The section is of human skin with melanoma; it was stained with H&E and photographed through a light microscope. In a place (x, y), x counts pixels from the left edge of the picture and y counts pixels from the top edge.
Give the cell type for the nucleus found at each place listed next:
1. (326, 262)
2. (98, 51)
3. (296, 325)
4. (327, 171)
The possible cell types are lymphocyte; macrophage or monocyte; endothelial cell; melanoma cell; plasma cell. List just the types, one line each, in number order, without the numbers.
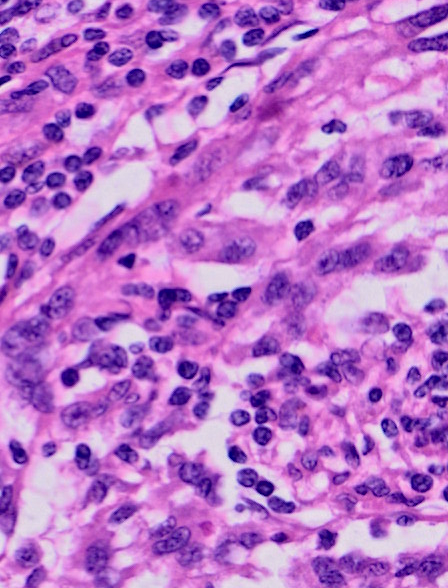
melanoma cell
lymphocyte
melanoma cell
melanoma cell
